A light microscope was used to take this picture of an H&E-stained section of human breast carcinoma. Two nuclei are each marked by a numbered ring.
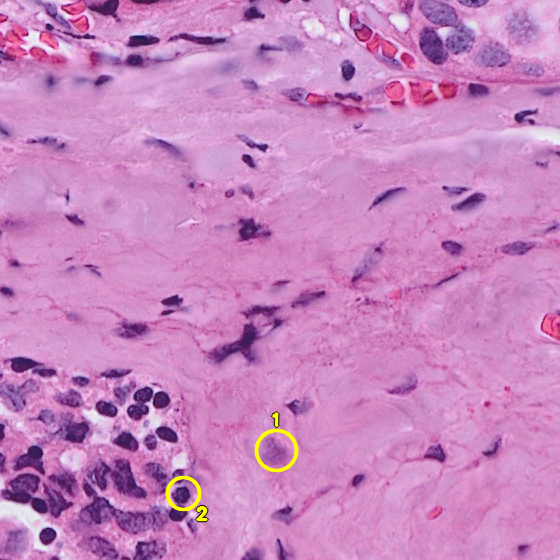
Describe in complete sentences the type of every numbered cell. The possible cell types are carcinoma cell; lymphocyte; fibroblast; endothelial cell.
Cell 1 is a fibroblast and cell 2 is a lymphocyte.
